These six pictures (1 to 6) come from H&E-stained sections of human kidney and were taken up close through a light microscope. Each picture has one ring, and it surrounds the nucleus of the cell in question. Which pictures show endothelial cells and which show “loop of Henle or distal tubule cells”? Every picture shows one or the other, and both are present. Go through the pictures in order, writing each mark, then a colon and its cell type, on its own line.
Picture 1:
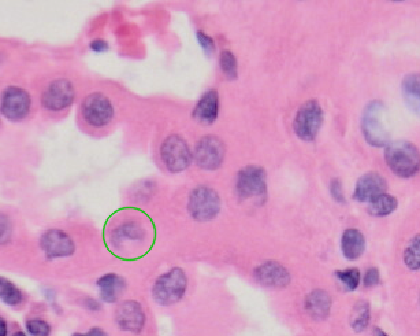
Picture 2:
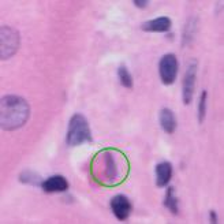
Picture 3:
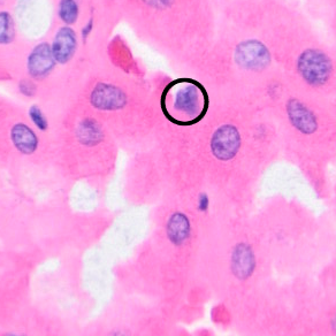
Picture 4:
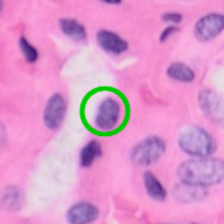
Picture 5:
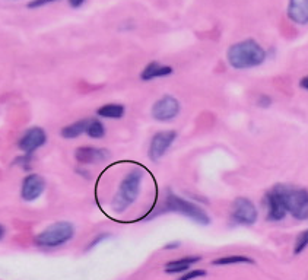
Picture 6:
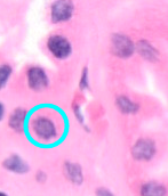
1: loop of Henle or distal tubule cell
2: endothelial cell
3: endothelial cell
4: loop of Henle or distal tubule cell
5: endothelial cell
6: loop of Henle or distal tubule cell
